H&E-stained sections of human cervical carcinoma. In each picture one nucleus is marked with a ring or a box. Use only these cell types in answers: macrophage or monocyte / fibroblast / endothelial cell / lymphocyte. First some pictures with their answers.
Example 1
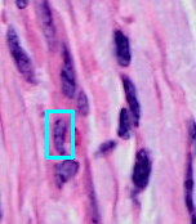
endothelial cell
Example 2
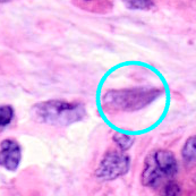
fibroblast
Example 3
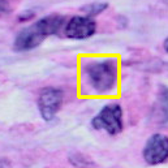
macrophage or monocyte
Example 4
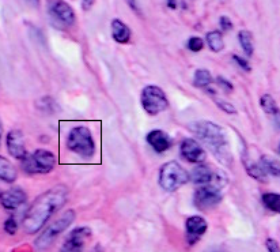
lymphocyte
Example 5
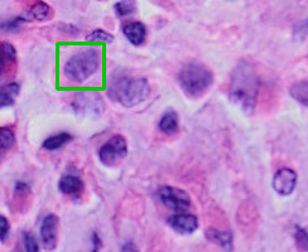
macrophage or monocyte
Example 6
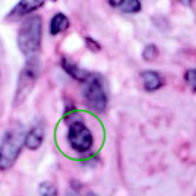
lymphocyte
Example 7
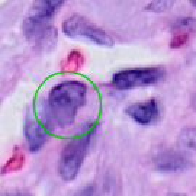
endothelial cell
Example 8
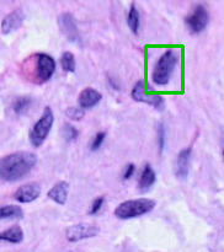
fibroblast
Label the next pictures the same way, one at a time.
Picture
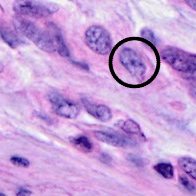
endothelial cell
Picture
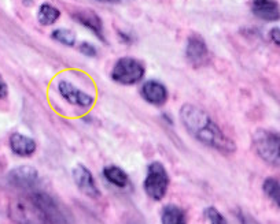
lymphocyte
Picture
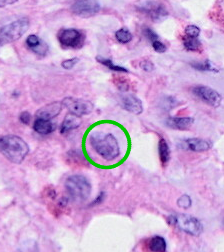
macrophage or monocyte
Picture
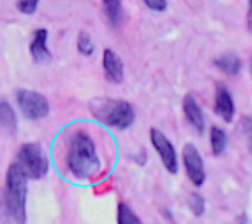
endothelial cell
